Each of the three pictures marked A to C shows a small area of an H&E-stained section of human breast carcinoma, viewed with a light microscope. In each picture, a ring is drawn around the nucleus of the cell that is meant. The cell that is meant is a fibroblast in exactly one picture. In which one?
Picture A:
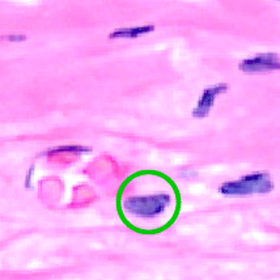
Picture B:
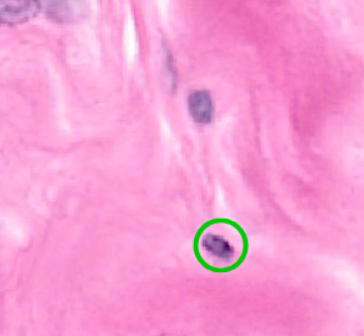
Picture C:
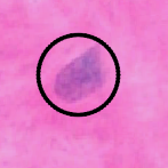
C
